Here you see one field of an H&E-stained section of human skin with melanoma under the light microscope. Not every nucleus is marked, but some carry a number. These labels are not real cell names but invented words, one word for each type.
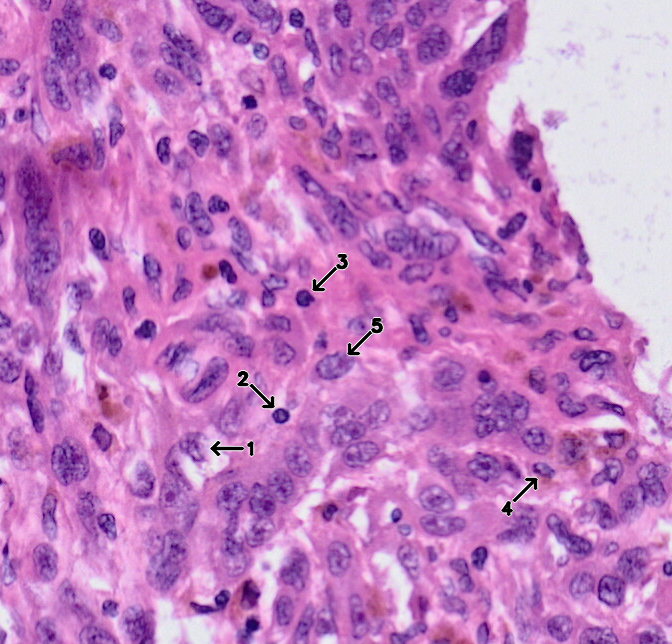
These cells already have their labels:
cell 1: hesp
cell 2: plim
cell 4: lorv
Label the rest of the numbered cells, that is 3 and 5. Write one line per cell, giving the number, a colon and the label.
3: plim
5: hesp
